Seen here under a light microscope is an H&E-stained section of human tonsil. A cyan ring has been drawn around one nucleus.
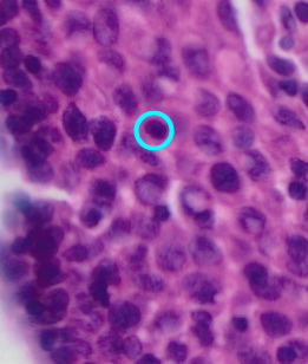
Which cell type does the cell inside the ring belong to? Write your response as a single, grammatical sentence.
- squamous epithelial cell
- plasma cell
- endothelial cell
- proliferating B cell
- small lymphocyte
In this tissue sample, the cell inside the ring is a squamous epithelial cell.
